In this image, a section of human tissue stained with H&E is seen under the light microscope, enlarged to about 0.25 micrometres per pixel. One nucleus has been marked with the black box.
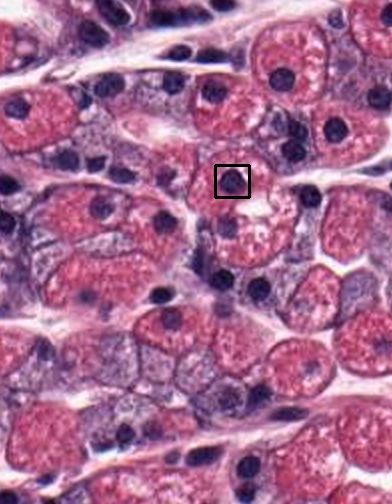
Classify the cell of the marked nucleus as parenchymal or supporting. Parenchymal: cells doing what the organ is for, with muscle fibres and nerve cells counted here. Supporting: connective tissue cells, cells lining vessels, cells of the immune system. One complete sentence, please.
A parenchymal cell holds the marked nucleus, and that cell is a parietal cell.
